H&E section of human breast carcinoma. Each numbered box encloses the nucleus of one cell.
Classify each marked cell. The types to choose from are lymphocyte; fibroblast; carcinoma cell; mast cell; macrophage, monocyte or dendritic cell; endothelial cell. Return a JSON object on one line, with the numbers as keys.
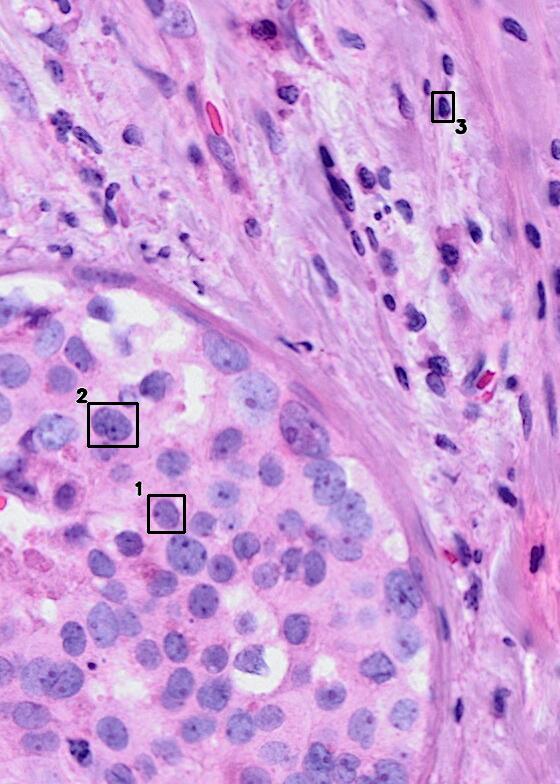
{"1": "carcinoma cell", "2": "carcinoma cell", "3": "lymphocyte"}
